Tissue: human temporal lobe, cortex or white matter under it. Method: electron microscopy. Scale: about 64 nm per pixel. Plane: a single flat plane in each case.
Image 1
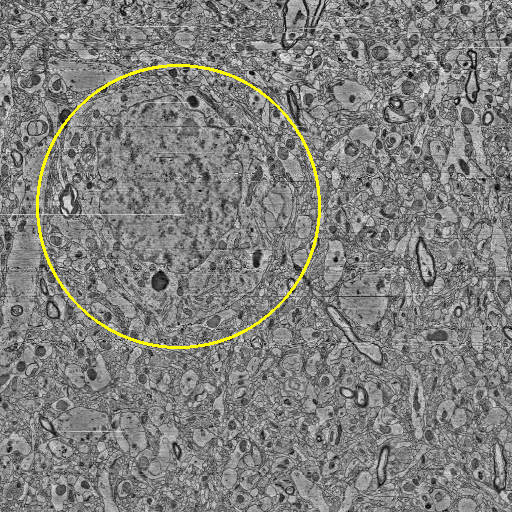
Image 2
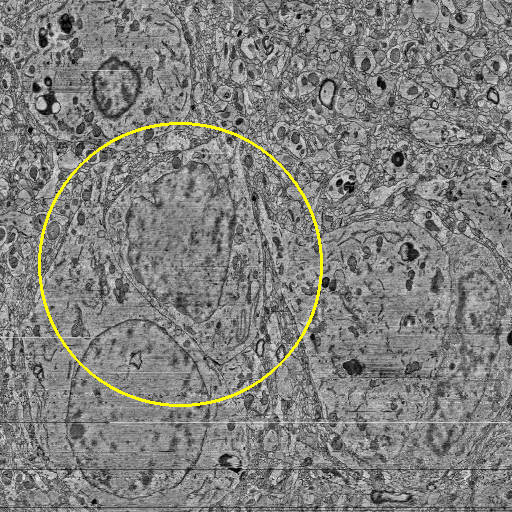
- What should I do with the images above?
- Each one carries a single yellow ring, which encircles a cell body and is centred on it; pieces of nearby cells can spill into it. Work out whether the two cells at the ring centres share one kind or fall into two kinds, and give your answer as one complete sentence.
The ring-centre cells of Image 1 and Image 2 share one kind.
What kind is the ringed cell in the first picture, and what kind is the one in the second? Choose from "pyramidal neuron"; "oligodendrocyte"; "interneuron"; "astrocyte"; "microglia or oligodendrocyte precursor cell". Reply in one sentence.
Each of the ringed cells, first and second, is an interneuron.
